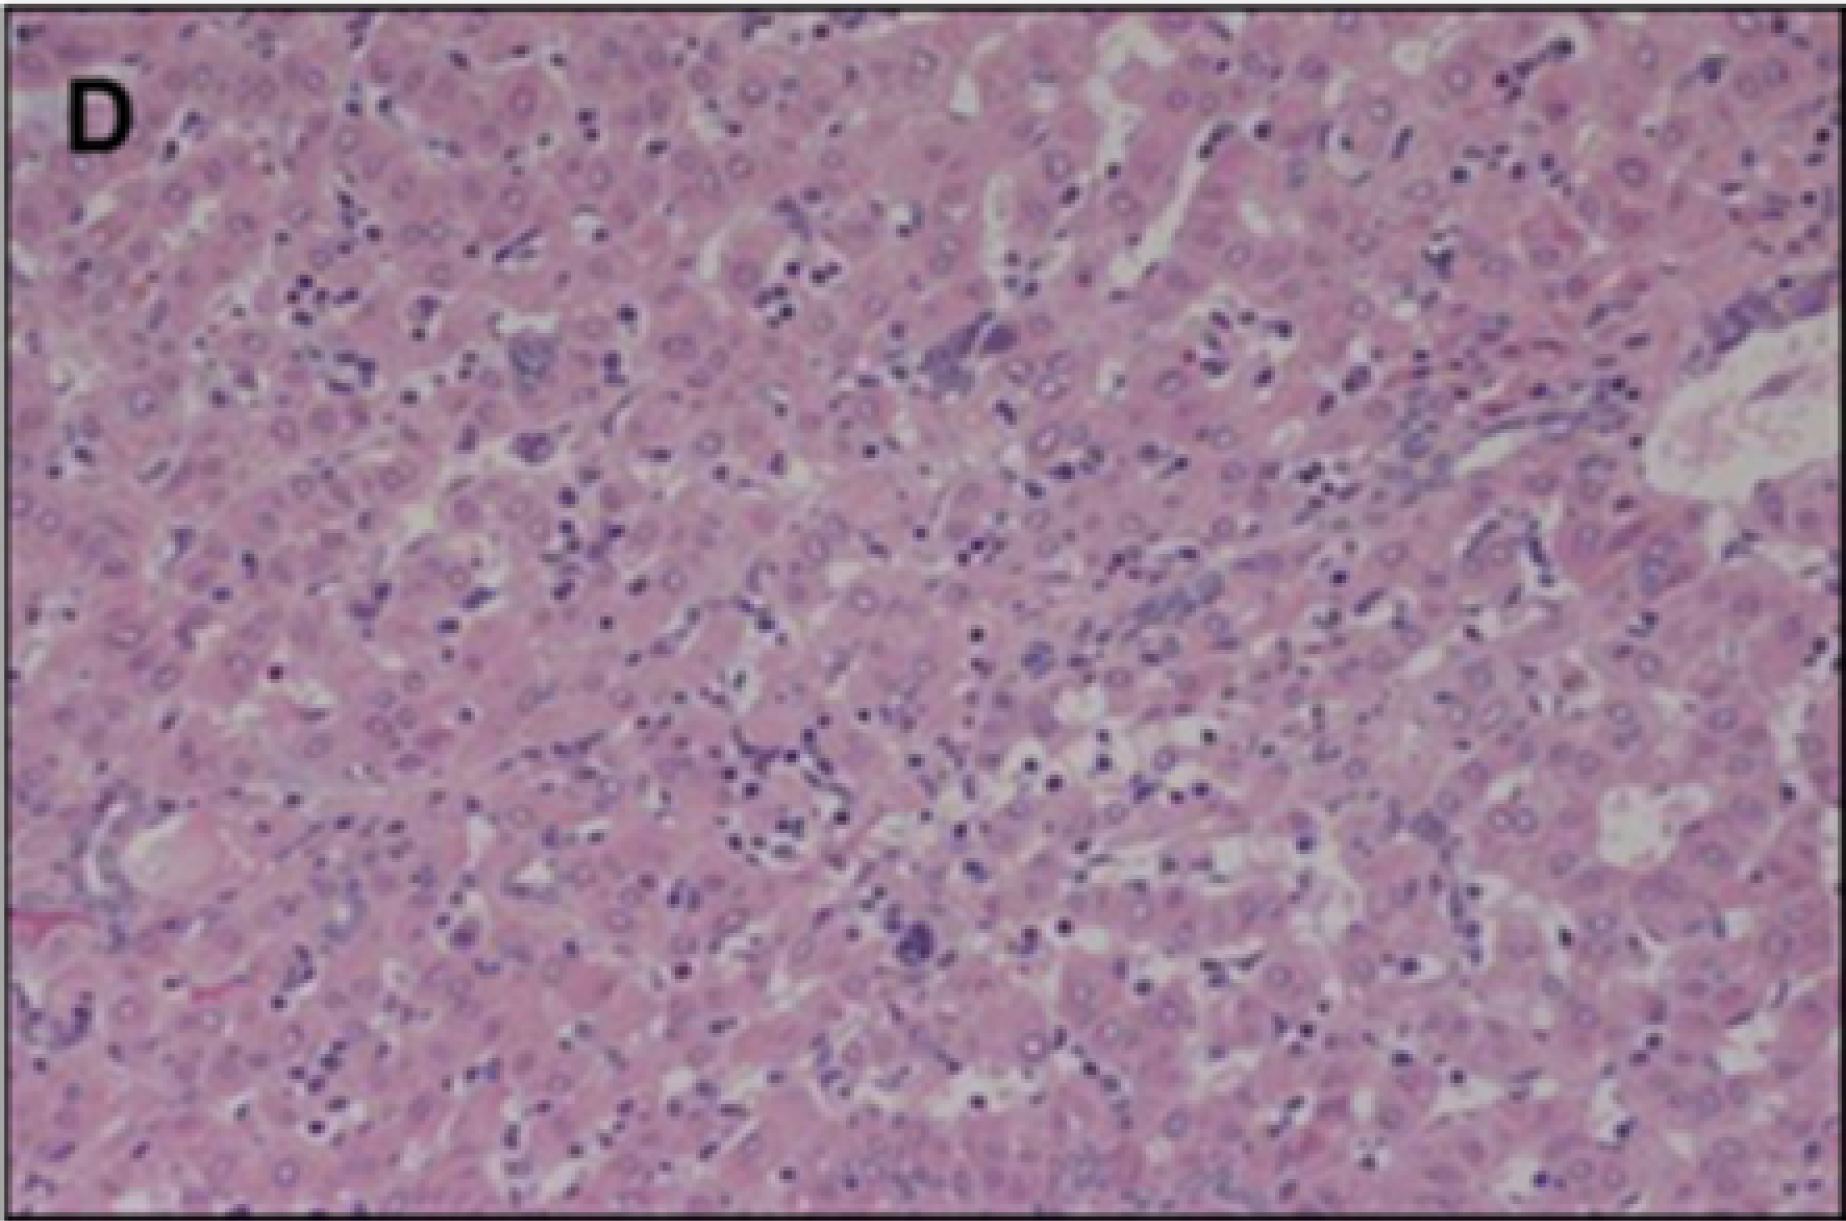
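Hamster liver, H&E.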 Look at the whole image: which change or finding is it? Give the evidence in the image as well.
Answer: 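Interstitial sinusoidal inflammation. Many small dark nuclei are scattered between the cords of hepatocytes. The small cells lie in the spaces between the plates rather than in one portal cluster. Hepatocytes are polygonal with pale pink cytoplasm and round central nuclei.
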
